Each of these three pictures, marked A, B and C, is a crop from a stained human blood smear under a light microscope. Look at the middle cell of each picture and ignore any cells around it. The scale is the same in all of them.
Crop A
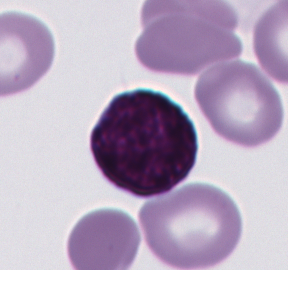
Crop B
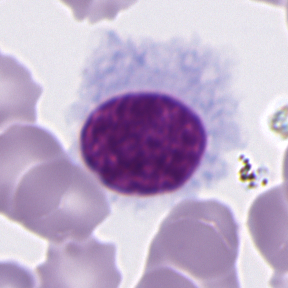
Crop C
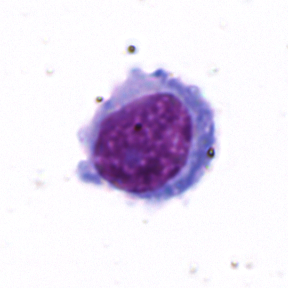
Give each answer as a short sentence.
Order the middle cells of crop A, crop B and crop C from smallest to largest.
Smallest first: A, C, B.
